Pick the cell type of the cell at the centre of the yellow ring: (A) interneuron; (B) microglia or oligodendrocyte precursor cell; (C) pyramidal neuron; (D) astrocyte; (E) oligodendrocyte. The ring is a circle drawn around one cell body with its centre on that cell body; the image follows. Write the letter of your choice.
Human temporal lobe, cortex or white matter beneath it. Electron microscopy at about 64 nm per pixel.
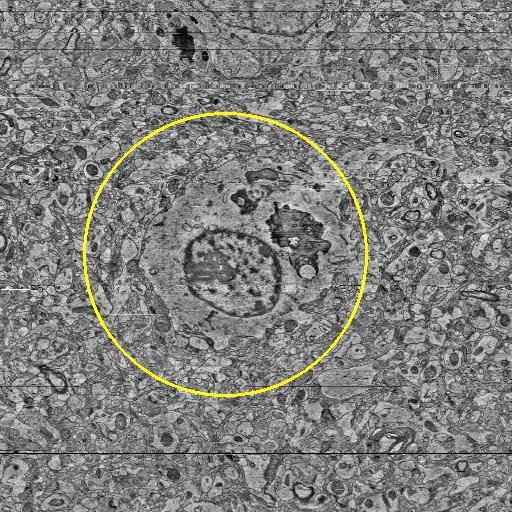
D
